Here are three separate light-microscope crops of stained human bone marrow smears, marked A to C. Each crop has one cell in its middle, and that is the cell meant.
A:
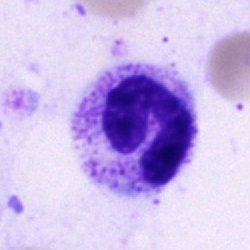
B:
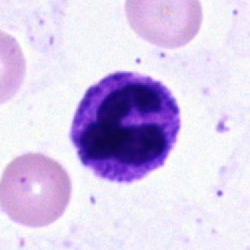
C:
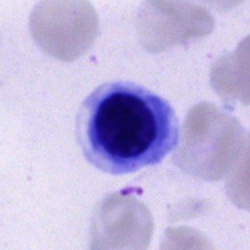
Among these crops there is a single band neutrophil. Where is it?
A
